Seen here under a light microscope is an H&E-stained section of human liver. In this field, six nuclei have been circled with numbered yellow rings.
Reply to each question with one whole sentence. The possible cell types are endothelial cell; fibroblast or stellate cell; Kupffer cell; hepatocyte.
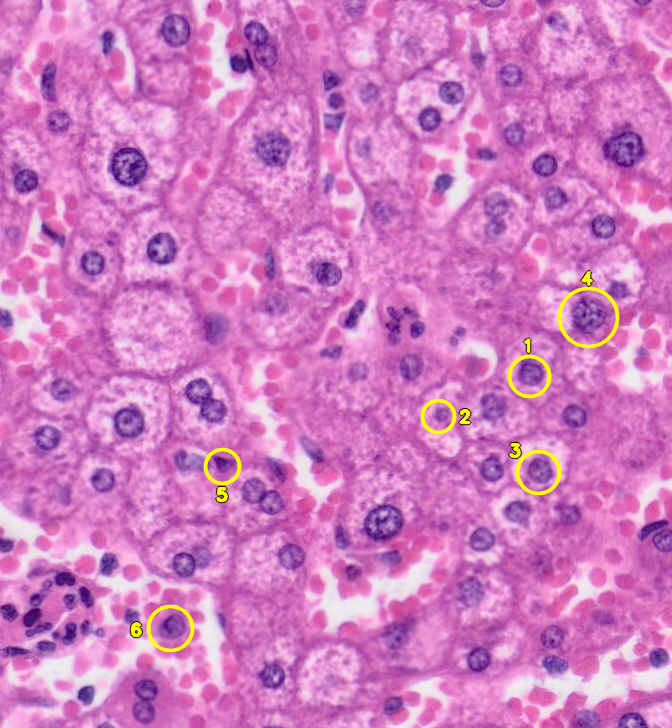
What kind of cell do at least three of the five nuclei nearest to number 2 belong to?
Most of the five nuclei nearest to number 2 are those of hepatocytes.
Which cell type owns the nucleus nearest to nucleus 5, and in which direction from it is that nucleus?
The nearest one is a Kupffer cell, found to the left of nucleus 5.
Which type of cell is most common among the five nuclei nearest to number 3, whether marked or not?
Hepatocytes make up most of the five nuclei closest to number 3.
